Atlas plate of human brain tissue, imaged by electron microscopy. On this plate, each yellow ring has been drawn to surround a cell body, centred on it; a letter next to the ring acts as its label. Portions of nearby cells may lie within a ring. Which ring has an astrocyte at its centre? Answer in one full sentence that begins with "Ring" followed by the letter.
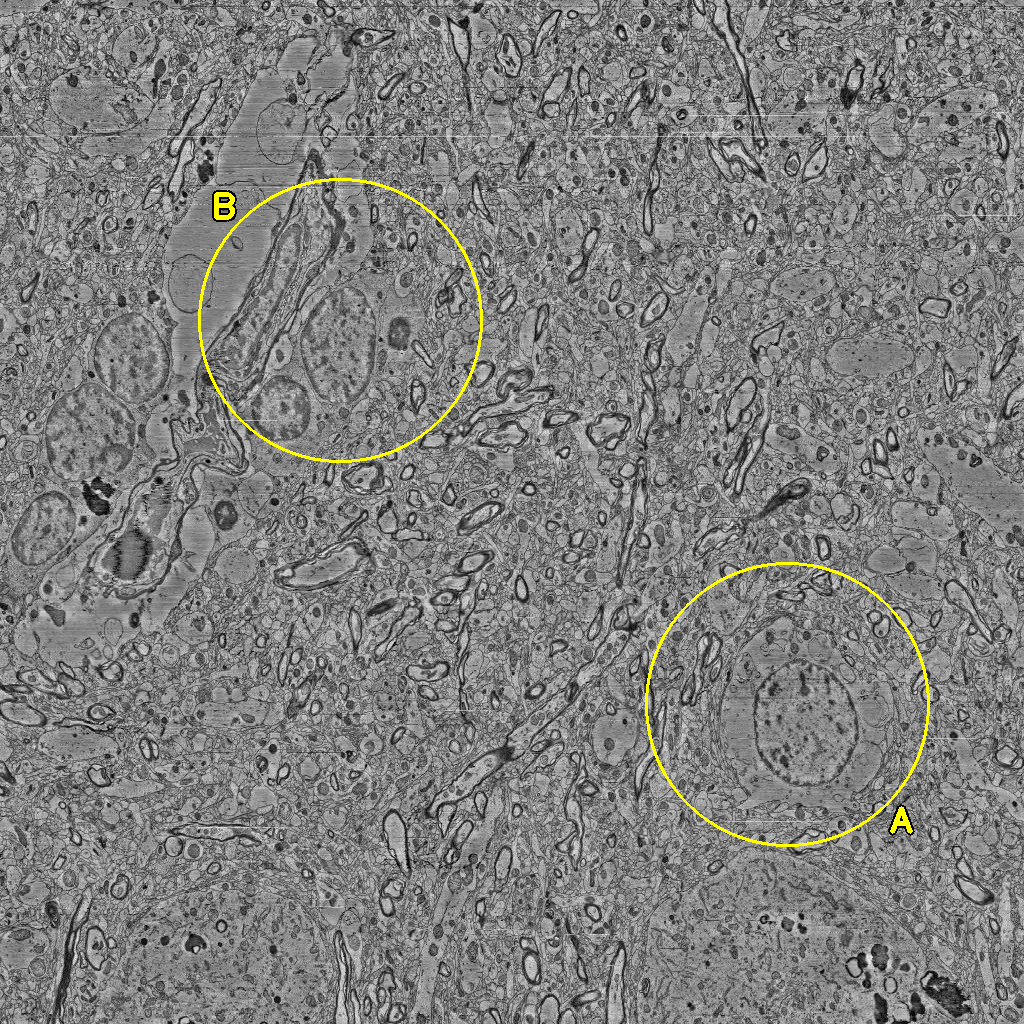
Ring A is drawn around the requested cell, which lies at its centre in the picture.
